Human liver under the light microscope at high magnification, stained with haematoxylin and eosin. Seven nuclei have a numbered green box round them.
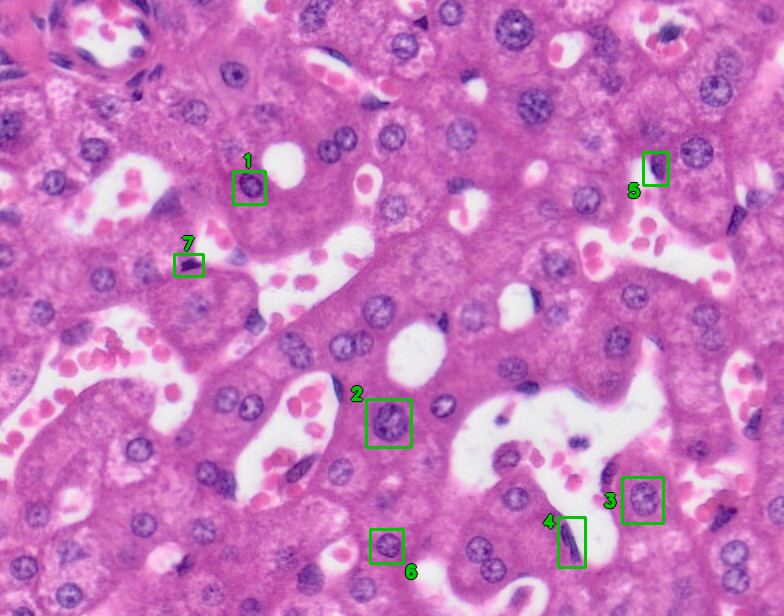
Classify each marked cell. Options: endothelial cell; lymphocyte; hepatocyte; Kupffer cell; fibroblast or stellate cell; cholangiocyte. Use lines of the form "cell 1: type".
cell 1: hepatocyte
cell 2: hepatocyte
cell 3: hepatocyte
cell 4: fibroblast or stellate cell
cell 5: endothelial cell
cell 6: hepatocyte
cell 7: fibroblast or stellate cell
